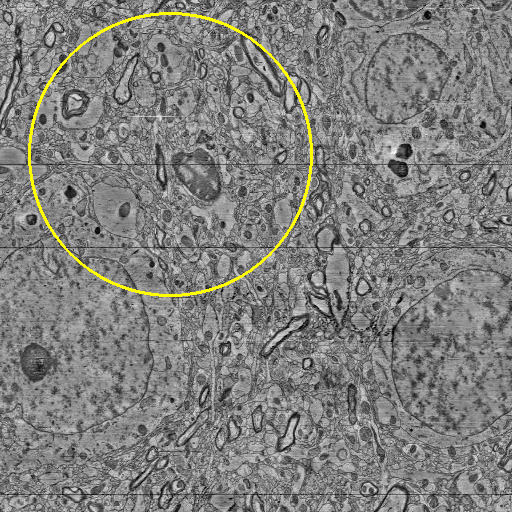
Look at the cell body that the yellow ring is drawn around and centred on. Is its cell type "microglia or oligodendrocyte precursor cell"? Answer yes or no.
yes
